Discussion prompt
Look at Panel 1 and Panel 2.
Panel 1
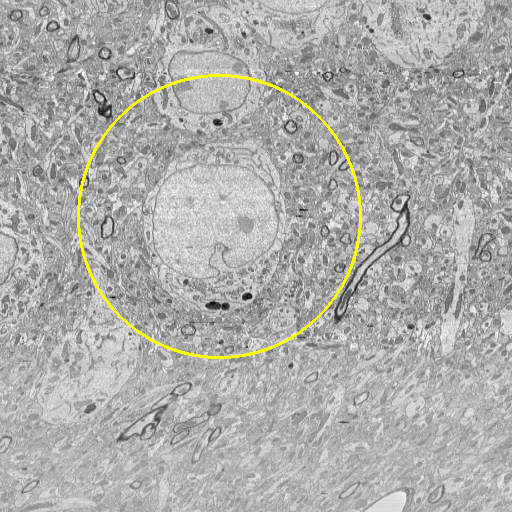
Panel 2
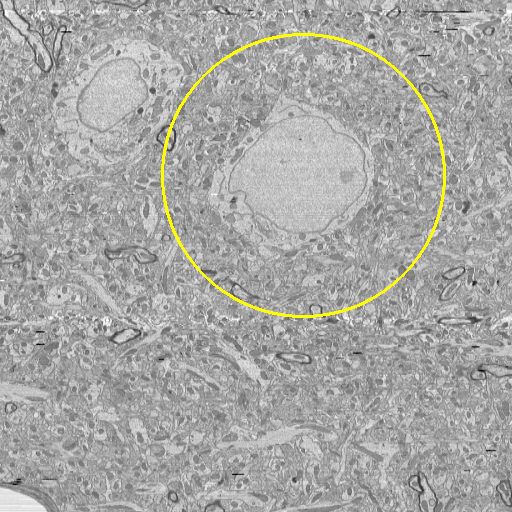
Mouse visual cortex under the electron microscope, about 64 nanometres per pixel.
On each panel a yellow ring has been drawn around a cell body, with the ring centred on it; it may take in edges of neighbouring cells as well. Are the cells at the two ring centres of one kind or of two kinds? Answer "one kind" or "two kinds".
two kinds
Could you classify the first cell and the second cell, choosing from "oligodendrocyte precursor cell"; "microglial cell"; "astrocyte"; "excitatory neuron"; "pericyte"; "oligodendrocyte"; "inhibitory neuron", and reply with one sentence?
The second cell is an excitatory neuron, while the first is an inhibitory neuron.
